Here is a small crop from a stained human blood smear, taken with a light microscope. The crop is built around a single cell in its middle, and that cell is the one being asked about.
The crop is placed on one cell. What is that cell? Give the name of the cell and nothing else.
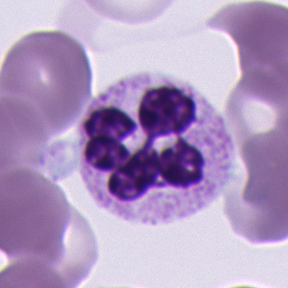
segmented neutrophil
